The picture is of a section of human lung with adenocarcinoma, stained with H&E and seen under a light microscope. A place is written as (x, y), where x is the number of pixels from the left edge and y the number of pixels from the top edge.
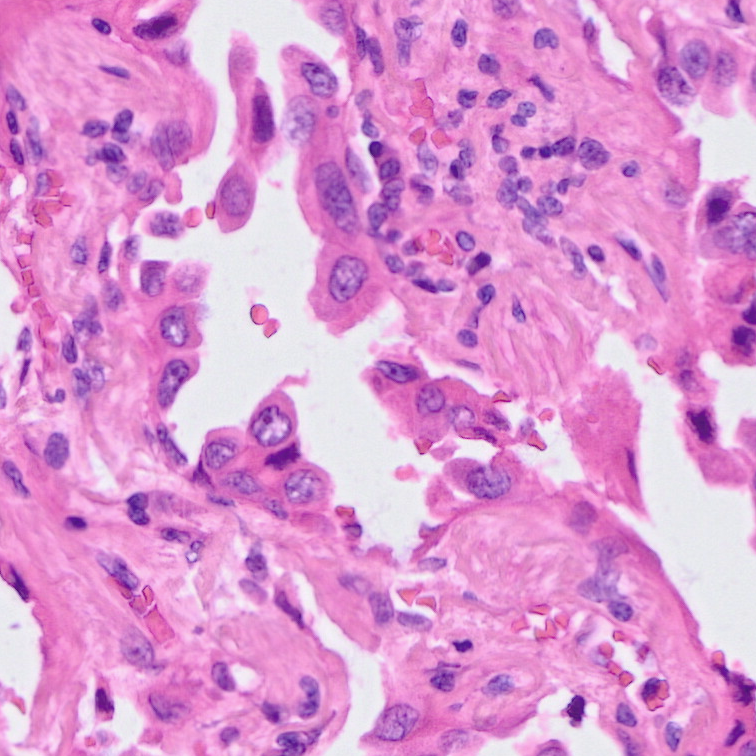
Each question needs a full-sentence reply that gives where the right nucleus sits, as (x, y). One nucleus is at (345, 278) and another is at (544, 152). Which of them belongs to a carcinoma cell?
The nucleus that belongs to a carcinoma cell is located at (345, 278).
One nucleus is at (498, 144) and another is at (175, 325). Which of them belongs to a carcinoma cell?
Here the nucleus at (175, 325) is the one that belongs to a carcinoma cell.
